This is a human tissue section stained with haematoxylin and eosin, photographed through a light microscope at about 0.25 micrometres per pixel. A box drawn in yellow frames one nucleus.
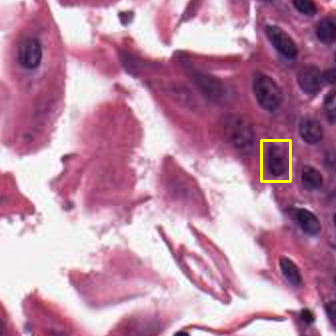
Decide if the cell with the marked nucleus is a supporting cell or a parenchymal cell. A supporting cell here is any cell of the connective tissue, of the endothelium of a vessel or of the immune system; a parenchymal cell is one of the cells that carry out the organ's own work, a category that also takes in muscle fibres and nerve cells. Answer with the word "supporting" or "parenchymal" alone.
parenchymal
